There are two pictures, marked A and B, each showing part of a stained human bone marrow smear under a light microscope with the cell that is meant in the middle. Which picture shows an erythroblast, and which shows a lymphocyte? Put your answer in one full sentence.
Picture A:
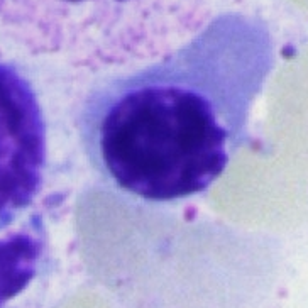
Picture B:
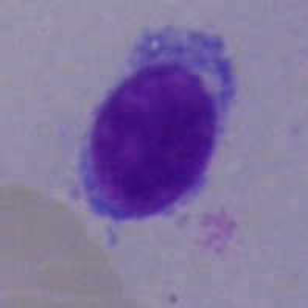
In picture A the cell is an erythroblast; in picture B, a lymphocyte.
